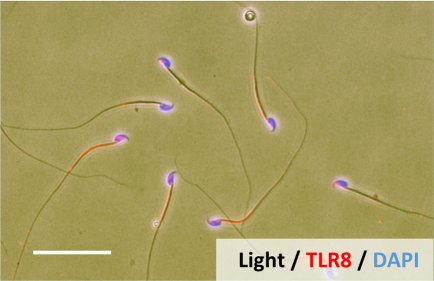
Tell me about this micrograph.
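Sperm spread on a slide each show a small hook-shaped head stained blue and a long, thin, wavy tail. In several sperm the proximal part of the tail is stained red, while in others the tail shows little or no red. The cells lie separately, with tails crossing each other across the field.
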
